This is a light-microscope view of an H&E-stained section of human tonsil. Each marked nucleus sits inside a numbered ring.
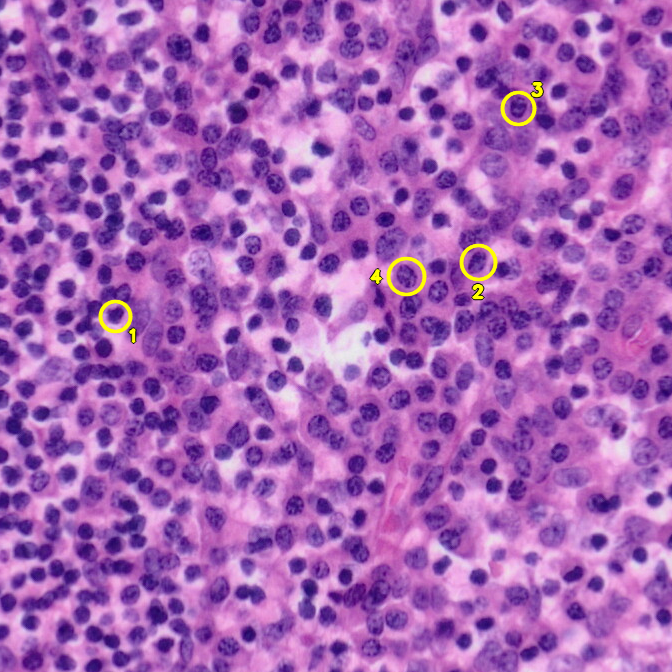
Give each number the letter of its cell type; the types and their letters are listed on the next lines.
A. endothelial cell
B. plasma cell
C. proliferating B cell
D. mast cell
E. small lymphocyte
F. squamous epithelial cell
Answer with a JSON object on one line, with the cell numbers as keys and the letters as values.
{"1": "E", "2": "B", "3": "B", "4": "B"}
